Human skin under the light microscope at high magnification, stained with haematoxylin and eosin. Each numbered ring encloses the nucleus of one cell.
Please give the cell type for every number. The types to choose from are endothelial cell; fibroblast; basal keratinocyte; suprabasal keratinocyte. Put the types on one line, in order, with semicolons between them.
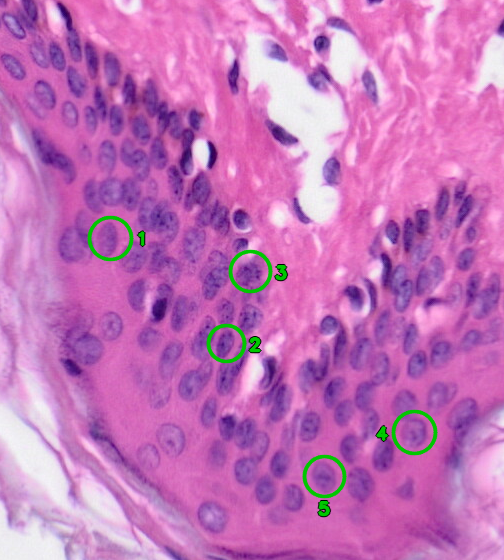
suprabasal keratinocyte; basal keratinocyte; basal keratinocyte; suprabasal keratinocyte; suprabasal keratinocyte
